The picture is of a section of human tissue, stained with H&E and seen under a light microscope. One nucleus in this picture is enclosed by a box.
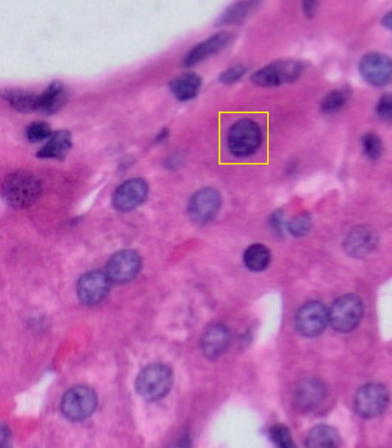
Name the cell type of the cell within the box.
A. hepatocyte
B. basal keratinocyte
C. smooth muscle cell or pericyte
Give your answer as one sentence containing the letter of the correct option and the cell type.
Option A gets it right: the cell within the box is a hepatocyte.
